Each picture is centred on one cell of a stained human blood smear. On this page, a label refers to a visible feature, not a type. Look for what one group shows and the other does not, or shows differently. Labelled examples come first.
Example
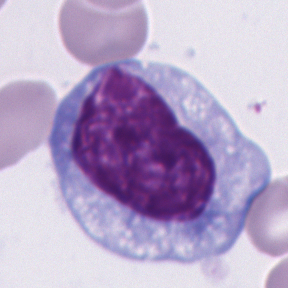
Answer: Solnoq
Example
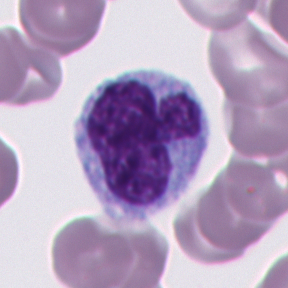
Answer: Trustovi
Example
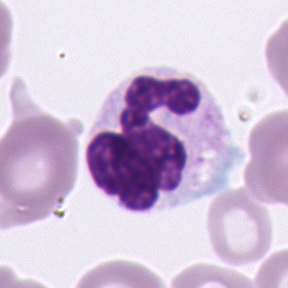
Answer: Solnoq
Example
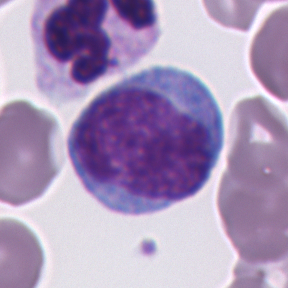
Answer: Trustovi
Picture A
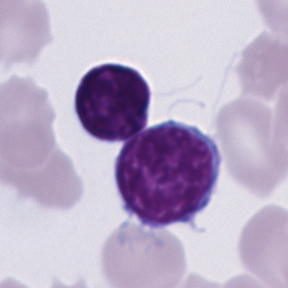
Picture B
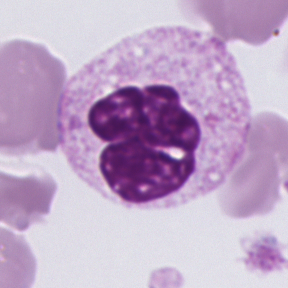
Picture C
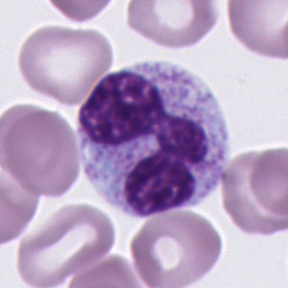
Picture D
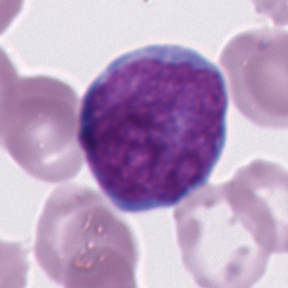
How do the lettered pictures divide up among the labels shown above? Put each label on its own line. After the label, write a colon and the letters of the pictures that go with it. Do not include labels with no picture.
Solnoq: B
Trustovi: A, C, D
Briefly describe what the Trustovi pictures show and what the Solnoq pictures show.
Trustovi, no vacuoles; Solnoq, vacuoles present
